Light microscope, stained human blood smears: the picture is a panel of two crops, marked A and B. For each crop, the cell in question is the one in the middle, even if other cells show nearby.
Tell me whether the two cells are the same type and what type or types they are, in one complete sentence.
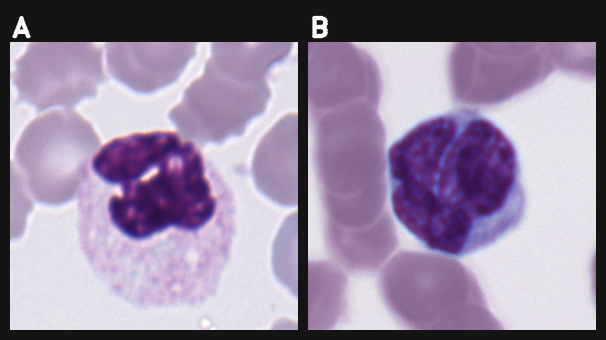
No, mark crop A as a segmented neutrophil and crop B as a monocyte.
